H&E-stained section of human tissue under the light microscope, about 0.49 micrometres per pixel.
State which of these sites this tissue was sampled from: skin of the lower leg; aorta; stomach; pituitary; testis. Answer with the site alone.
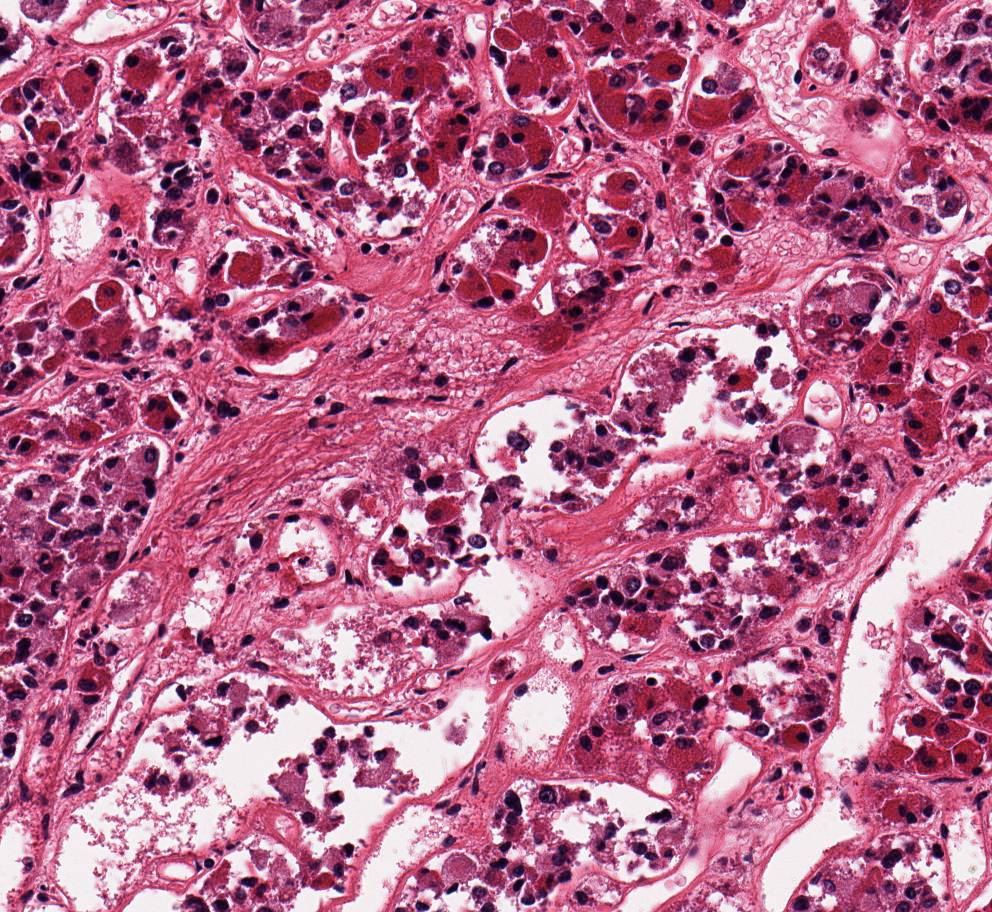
pituitary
